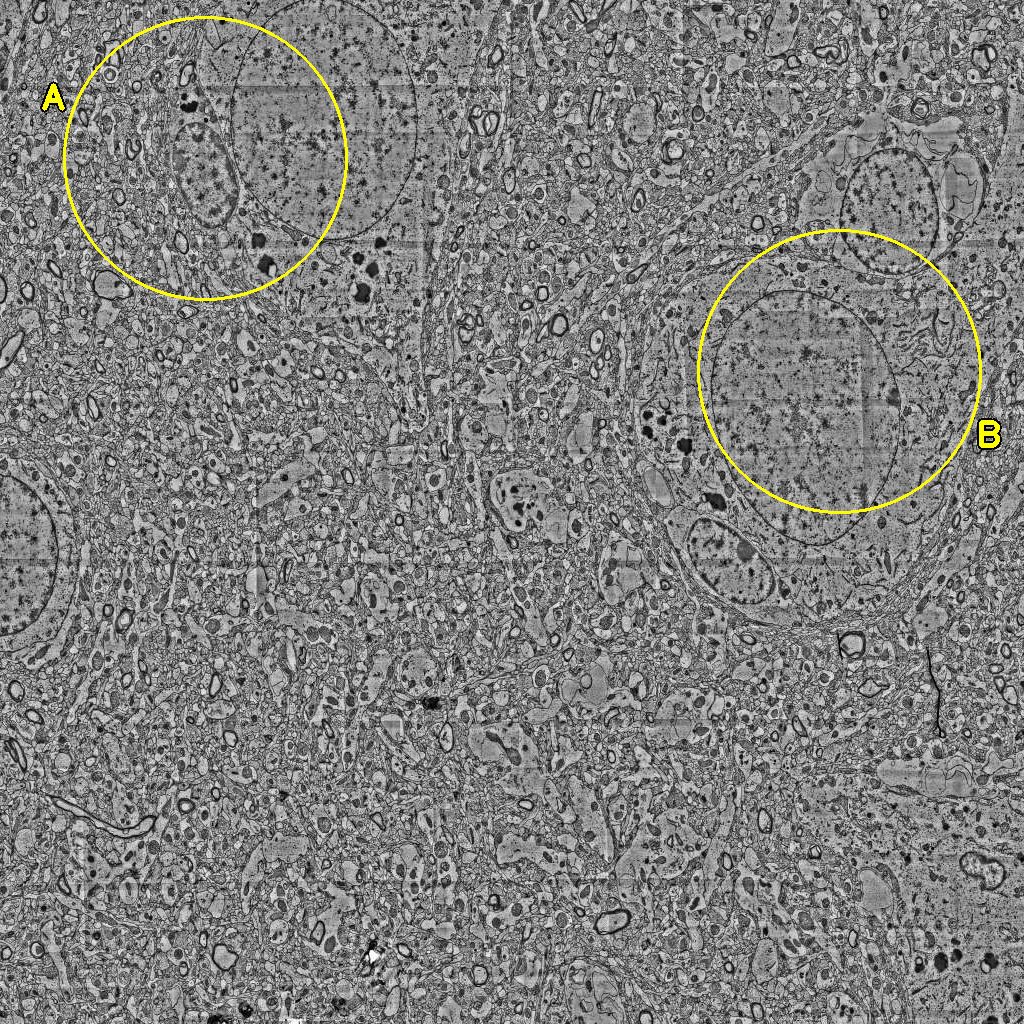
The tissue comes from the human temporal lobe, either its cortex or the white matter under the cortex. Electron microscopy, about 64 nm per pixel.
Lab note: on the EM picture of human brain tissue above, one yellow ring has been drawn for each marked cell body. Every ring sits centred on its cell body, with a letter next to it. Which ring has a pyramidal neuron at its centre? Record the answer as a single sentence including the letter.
Noted: the cell in question is at the centre of ring B.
